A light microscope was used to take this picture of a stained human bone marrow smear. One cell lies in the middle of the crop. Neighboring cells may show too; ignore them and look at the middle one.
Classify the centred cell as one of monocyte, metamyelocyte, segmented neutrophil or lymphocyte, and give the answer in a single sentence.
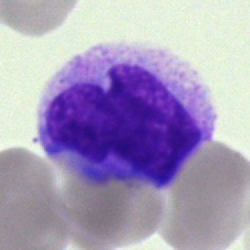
The crop's centre is taken up by a monocyte.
